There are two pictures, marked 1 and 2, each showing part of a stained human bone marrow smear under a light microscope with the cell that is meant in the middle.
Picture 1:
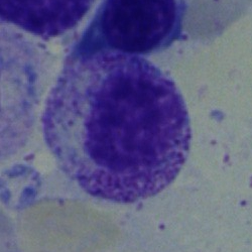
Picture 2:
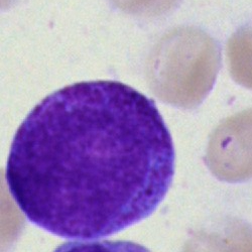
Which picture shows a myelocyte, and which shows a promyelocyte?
1: myelocyte
2: promyelocyte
